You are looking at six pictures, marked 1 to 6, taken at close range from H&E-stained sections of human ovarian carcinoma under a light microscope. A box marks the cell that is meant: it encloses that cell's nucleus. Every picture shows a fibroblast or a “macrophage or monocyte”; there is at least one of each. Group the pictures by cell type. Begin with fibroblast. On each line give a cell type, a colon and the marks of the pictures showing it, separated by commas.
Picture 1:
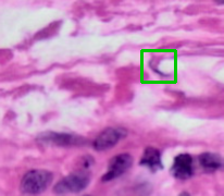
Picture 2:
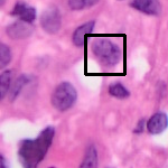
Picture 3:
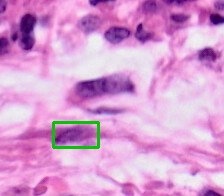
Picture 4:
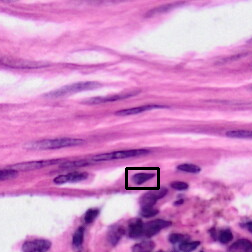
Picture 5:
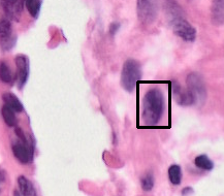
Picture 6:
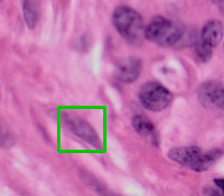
fibroblast: 1, 3, 5, 6
macrophage or monocyte: 2, 4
